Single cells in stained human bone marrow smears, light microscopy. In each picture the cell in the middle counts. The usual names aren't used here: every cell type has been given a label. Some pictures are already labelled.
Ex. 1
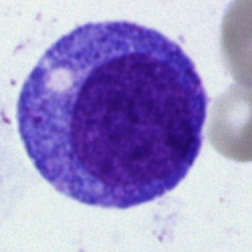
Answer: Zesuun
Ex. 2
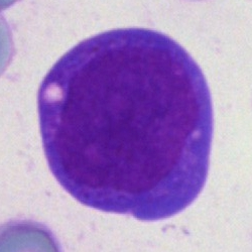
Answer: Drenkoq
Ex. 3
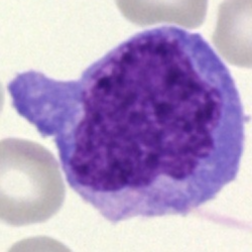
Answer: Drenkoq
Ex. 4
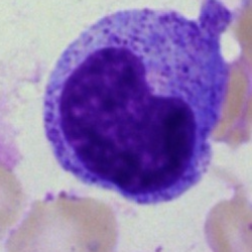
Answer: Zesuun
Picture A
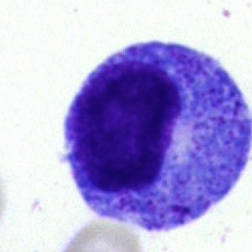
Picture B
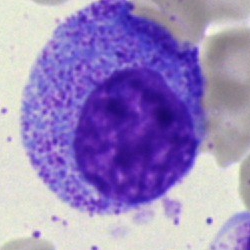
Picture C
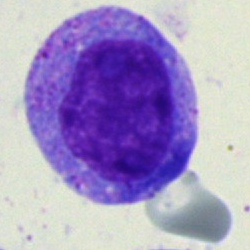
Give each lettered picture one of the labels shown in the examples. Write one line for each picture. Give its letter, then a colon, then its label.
A: Zesuun
B: Zesuun
C: Zesuun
